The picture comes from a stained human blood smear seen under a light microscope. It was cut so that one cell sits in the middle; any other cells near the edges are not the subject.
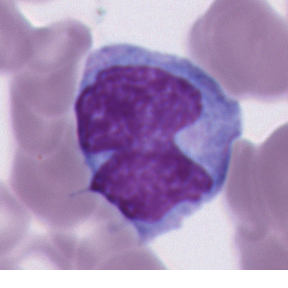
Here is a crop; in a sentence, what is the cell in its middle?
The cell under consideration, at the middle of the crop, is a monocyte.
